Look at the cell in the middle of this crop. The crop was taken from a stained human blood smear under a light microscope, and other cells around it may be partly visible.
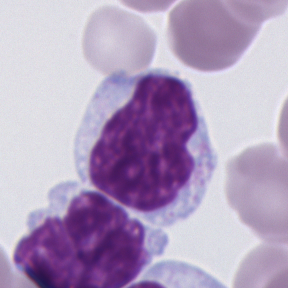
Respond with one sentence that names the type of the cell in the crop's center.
Standing at the centre of this crop is a large granular lymphocyte.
